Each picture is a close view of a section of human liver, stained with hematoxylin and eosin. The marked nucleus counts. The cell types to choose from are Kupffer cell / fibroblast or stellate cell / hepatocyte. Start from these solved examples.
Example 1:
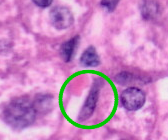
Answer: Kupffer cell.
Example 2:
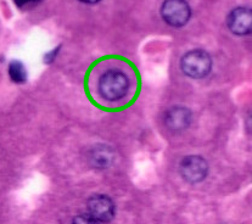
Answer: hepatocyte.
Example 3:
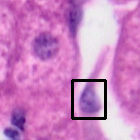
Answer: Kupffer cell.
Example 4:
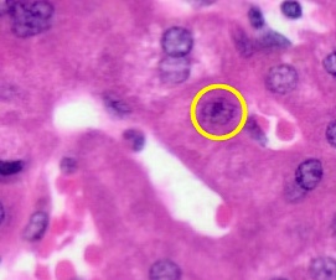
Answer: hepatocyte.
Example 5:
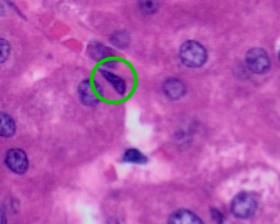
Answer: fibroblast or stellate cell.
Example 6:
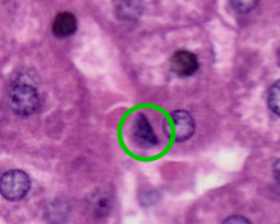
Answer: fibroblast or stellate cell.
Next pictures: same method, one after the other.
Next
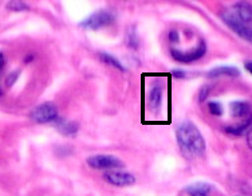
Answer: fibroblast or stellate cell.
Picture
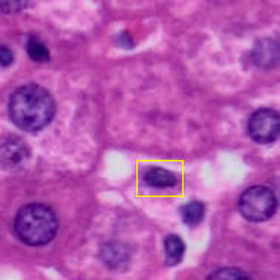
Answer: Kupffer cell.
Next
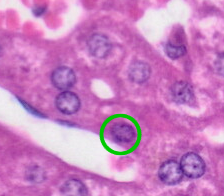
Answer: hepatocyte.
